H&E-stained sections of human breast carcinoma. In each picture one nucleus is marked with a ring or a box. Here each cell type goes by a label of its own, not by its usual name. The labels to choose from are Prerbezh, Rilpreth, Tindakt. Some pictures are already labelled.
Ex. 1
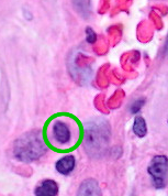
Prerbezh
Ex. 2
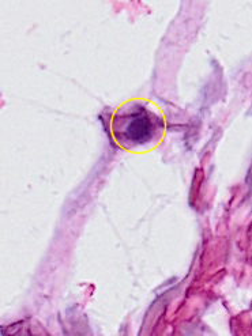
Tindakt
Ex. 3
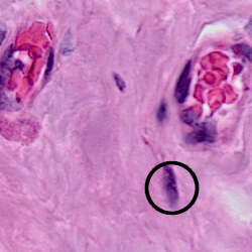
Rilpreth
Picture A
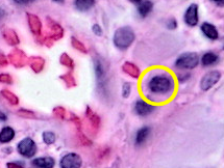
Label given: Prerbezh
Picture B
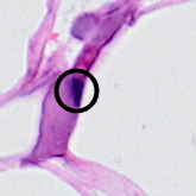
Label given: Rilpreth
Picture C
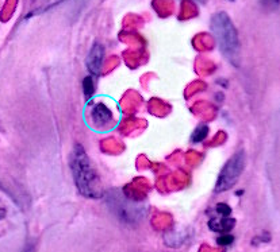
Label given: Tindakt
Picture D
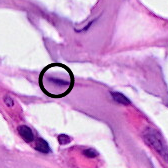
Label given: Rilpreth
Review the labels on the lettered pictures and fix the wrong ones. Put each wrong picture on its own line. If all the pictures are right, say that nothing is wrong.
No label is wrong.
